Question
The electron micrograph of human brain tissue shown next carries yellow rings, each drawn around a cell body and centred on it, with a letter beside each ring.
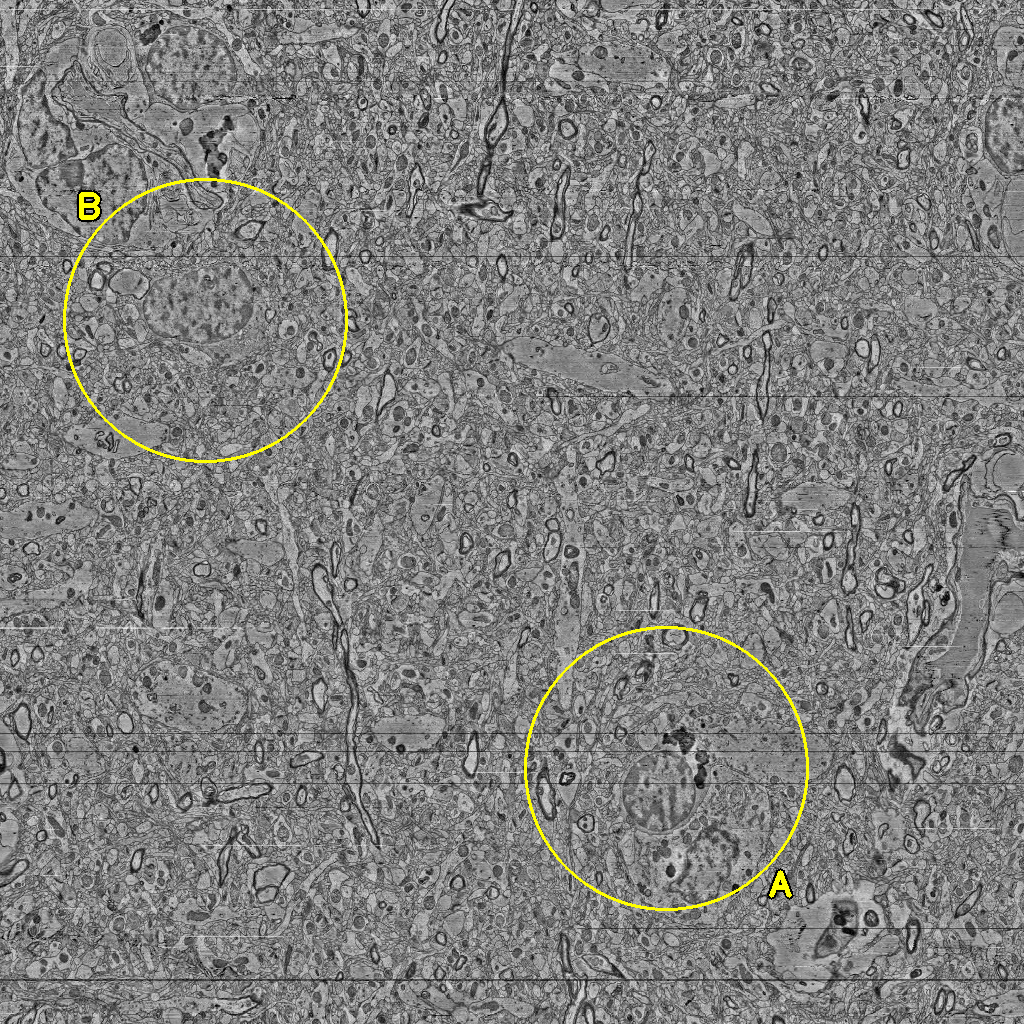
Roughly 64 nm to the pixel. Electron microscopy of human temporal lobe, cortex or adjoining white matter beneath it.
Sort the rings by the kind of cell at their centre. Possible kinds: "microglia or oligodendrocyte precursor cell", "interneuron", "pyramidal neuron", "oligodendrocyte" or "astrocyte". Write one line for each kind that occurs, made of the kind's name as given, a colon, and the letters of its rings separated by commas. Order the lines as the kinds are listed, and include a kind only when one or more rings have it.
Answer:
oligodendrocyte: A, B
